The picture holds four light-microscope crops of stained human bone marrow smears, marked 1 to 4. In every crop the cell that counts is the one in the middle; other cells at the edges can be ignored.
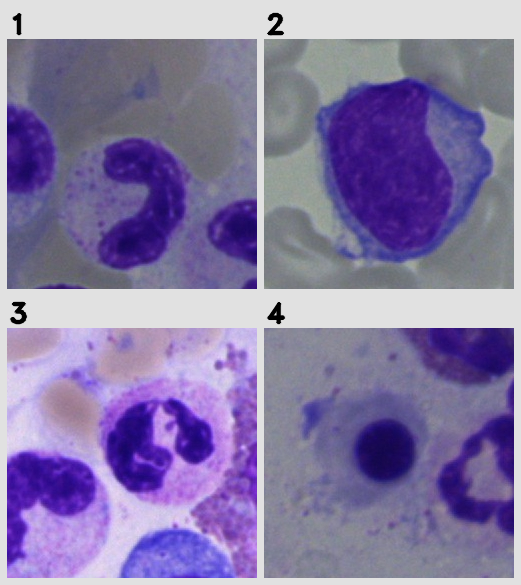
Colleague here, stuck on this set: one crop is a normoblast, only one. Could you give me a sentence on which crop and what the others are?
In this group, crop 4 shows a normoblast, while crop 1 is a band neutrophil, crop 2 is a blast and crop 3 is a segmented neutrophil.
